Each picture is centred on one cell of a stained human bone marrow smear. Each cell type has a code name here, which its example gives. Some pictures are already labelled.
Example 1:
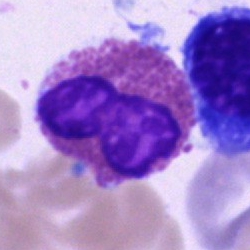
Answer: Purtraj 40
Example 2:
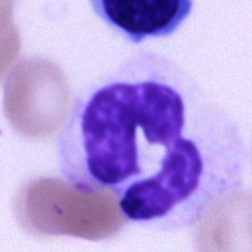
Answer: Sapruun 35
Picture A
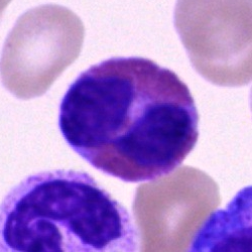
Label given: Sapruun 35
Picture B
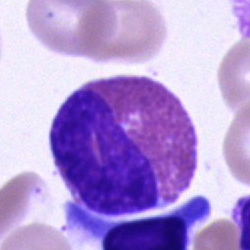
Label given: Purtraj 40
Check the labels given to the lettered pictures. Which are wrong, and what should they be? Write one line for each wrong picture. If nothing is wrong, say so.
A is labelled Sapruun 35; correct label: Purtraj 40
